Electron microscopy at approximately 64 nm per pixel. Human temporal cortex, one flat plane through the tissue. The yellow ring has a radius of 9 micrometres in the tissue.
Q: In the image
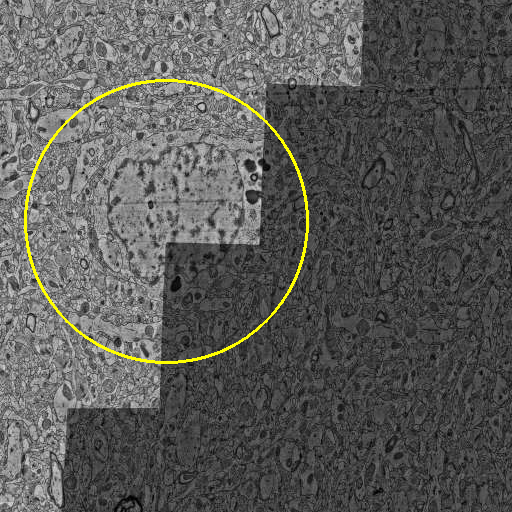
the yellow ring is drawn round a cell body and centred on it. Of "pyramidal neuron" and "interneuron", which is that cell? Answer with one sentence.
The cell centred in the ring is an interneuron.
